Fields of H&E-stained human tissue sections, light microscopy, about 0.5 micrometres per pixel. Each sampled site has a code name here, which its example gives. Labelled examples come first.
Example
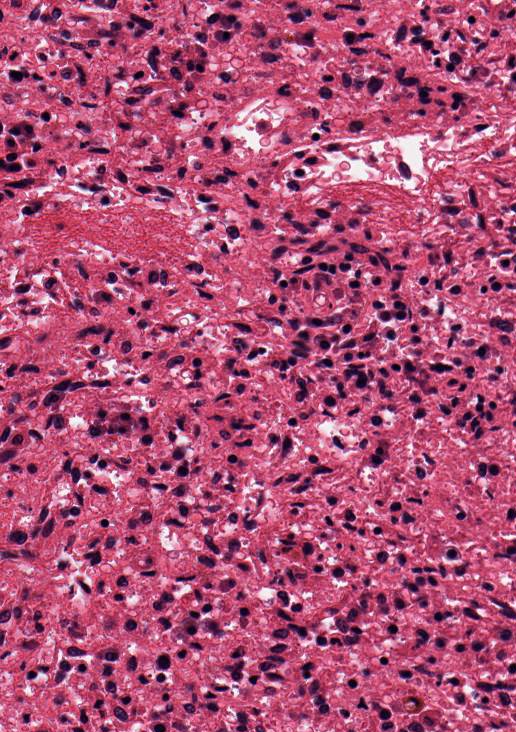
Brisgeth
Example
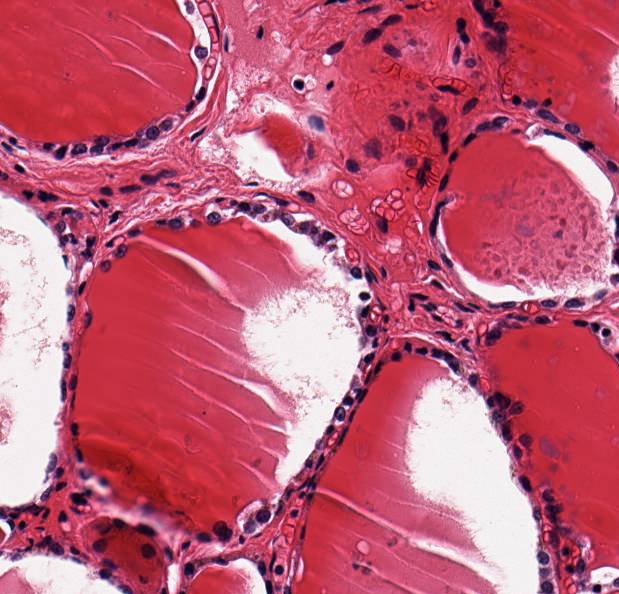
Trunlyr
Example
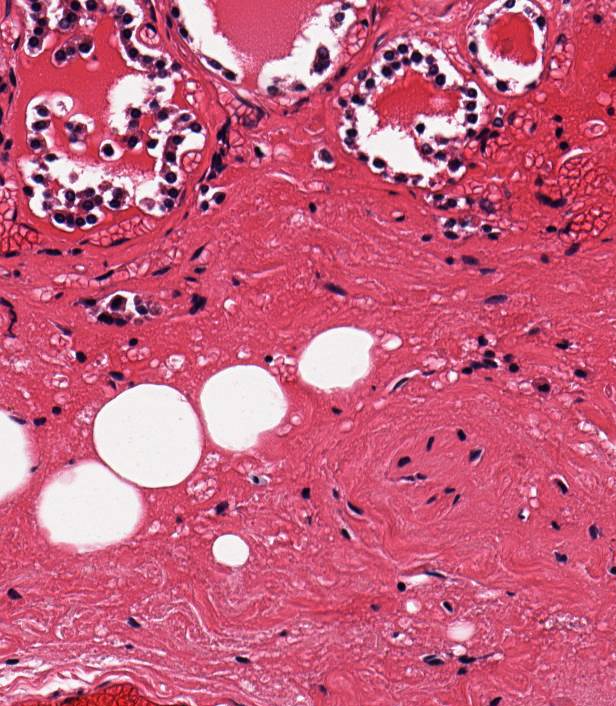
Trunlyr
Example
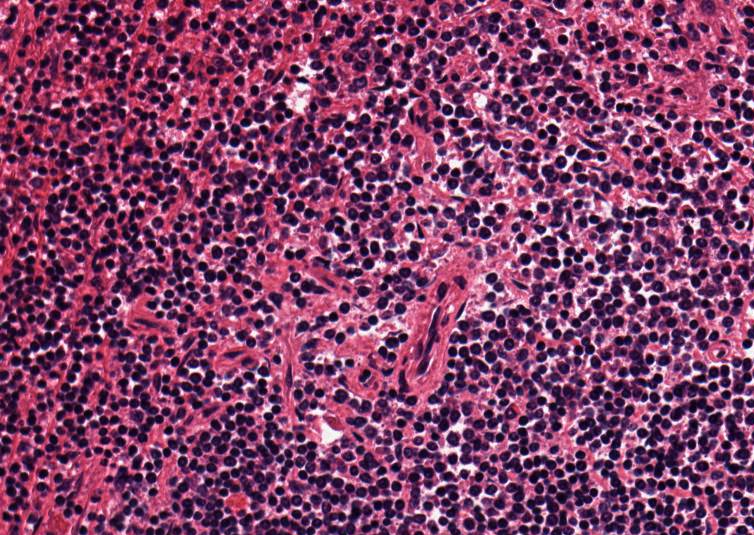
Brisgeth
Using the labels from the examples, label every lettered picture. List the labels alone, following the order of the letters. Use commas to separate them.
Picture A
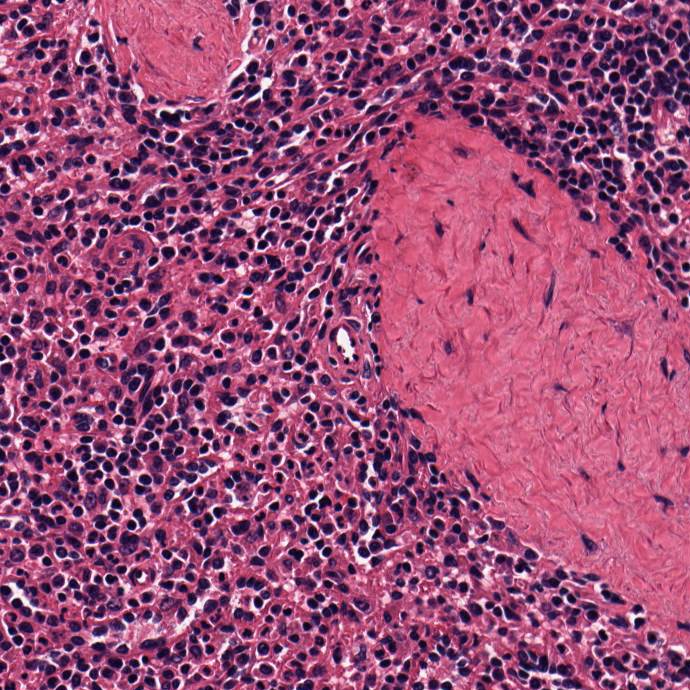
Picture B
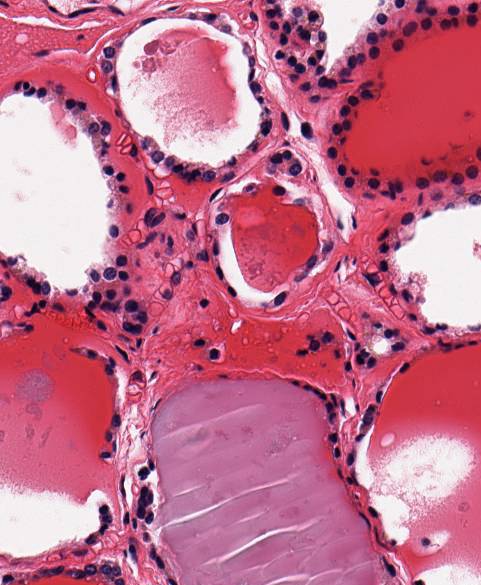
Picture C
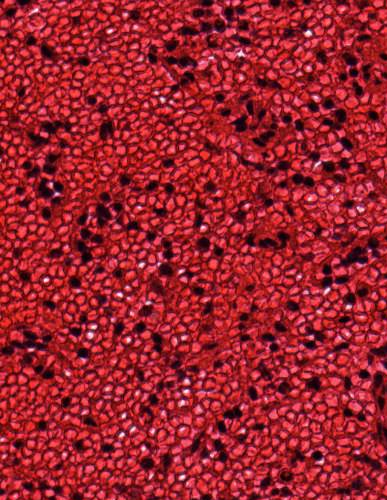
Brisgeth, Trunlyr, Brisgeth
